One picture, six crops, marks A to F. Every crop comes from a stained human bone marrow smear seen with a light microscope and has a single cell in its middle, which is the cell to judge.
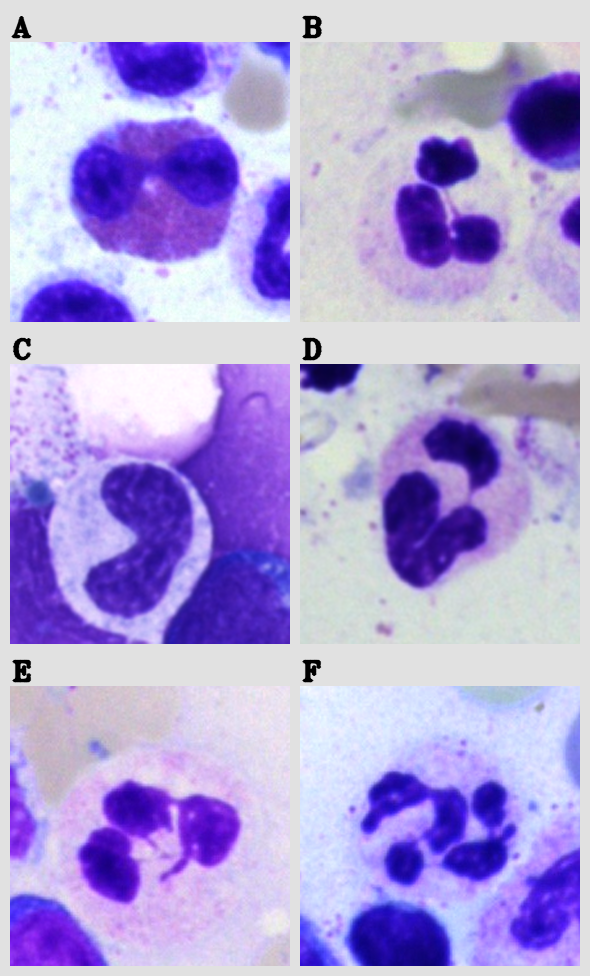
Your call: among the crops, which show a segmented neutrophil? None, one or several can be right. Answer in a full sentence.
Shown at the centre of crops B, D, E and F are segmented neutrophils.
